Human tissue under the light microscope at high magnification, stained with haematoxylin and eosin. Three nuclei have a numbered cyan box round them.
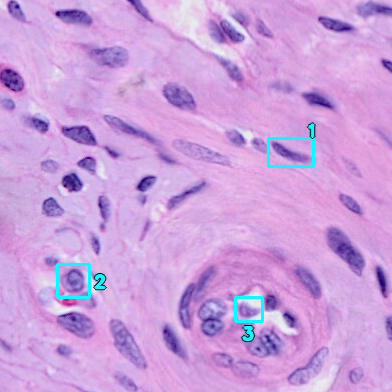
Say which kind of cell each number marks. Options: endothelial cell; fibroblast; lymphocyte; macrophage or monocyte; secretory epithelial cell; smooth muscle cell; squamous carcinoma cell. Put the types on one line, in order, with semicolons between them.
fibroblast; endothelial cell; endothelial cell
